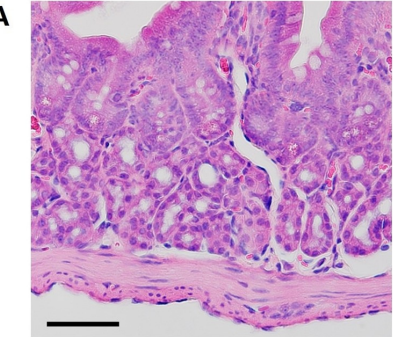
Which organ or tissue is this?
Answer: intestinal wall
